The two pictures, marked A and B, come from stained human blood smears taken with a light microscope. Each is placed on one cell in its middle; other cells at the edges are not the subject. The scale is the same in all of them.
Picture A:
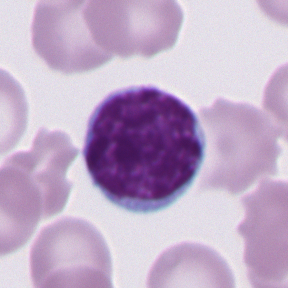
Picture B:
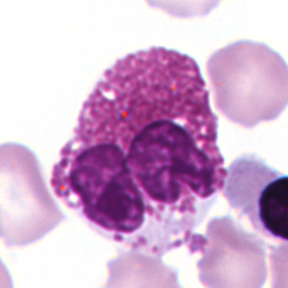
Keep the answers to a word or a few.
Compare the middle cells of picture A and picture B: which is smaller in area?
A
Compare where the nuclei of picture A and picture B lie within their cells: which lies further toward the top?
A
